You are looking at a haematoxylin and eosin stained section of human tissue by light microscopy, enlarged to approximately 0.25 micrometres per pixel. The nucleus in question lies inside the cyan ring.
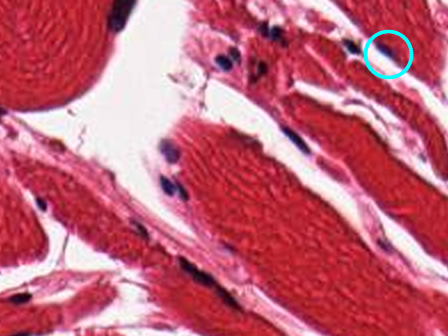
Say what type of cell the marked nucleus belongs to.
skeletal muscle fibre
